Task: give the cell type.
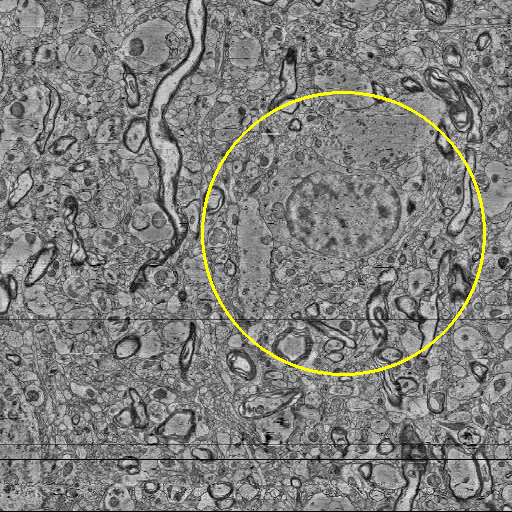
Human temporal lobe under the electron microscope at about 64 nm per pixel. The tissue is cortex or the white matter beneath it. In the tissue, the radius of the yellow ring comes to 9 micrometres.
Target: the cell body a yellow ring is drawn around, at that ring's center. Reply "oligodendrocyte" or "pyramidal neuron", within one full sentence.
In this picture, the cell whose body lies at the ring's center is an oligodendrocyte.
